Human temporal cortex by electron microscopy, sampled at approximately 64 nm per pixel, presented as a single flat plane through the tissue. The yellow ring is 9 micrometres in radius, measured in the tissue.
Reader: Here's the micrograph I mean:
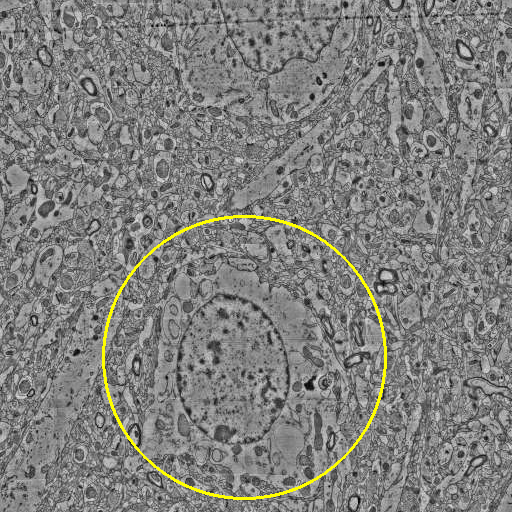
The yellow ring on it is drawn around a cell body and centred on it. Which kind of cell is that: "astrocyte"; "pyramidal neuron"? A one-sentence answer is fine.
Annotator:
The ring is centred on an astrocyte.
